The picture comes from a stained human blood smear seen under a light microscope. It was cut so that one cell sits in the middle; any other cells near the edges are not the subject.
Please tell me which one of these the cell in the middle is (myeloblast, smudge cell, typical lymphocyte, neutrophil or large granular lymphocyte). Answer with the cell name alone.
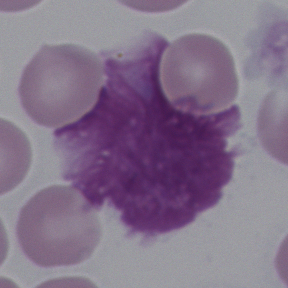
smudge cell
